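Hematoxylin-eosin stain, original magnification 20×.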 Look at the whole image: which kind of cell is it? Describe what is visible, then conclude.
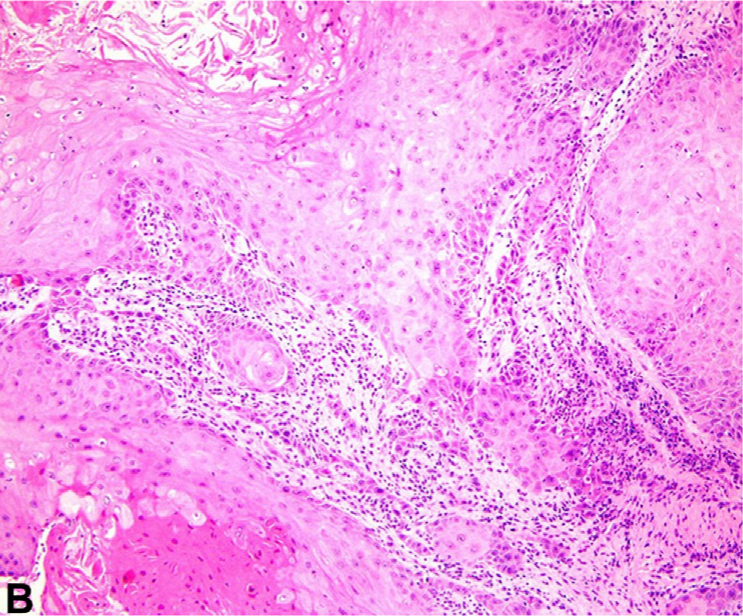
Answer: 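Atypical keratinocytes. Large polygonal cells with abundant glassy pink cytoplasm form islands and cords. Nuclei are enlarged and vary in size. Small concentric whorls of keratinizing cells are present.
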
